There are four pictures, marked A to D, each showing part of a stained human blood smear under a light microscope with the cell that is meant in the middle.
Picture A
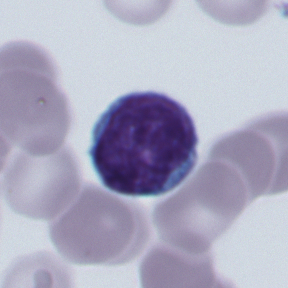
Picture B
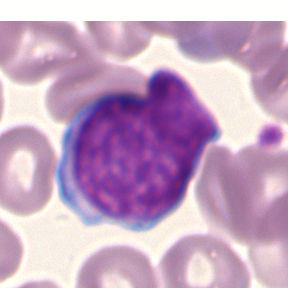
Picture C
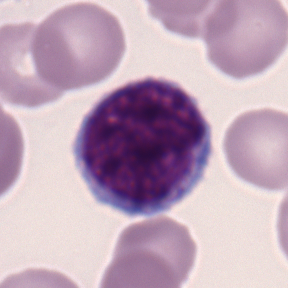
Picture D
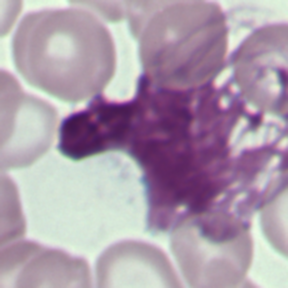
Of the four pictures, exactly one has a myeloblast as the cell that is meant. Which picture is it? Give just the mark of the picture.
B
